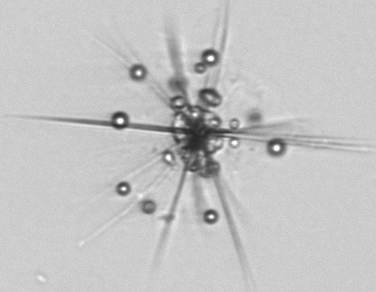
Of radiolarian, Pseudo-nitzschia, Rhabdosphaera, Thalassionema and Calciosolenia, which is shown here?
radiolarian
